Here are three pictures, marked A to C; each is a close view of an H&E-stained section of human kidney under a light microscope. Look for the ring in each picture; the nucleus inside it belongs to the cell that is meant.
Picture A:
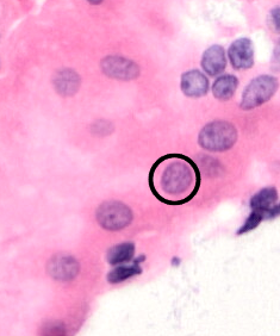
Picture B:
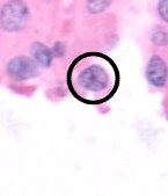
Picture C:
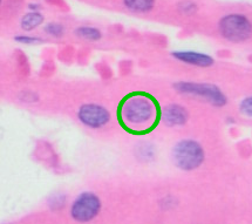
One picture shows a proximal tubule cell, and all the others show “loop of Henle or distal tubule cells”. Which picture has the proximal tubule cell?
A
